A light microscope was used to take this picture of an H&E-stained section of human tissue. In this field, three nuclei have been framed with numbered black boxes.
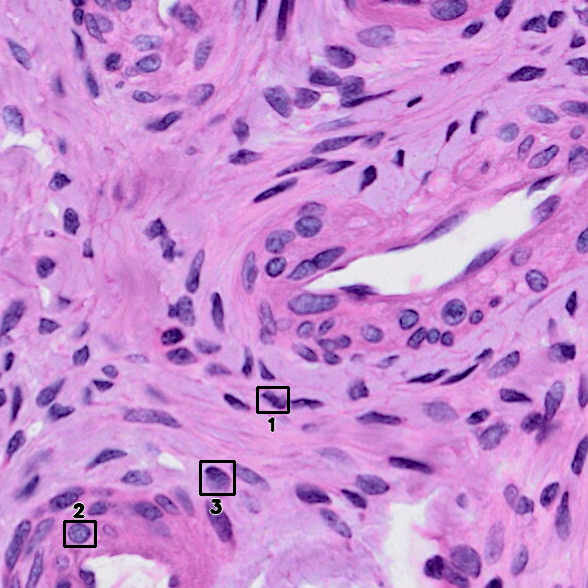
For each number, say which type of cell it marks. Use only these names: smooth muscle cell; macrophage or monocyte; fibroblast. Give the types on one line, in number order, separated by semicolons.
fibroblast; smooth muscle cell; fibroblast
